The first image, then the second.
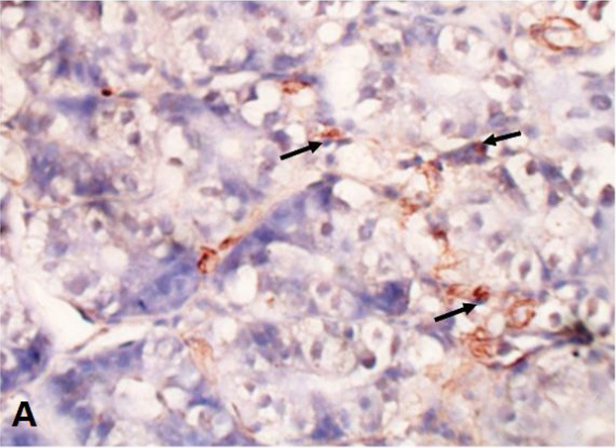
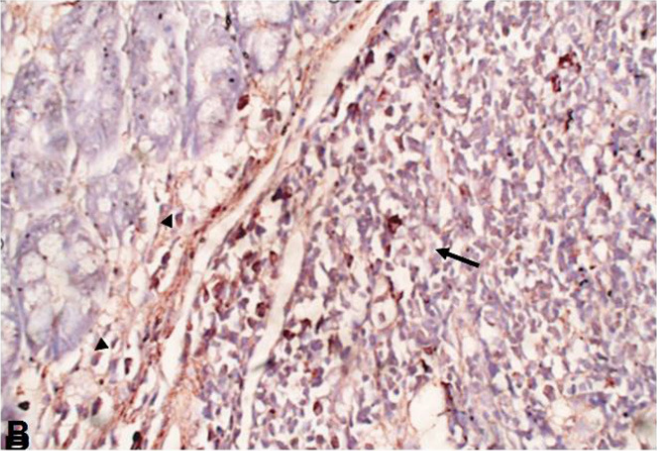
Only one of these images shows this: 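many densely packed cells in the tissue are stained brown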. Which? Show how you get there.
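The second image. Second image: a dense sheet of packed cells with many brown-stained cells and brown fibrous strands. First image: glandular tissue with only scattered small brown-stained cells between glands.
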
